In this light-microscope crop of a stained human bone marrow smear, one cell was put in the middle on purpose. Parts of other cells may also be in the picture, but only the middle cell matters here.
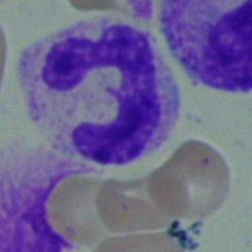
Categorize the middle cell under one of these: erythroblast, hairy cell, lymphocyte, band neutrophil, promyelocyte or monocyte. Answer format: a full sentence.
This particular crop is centered on a band neutrophil.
